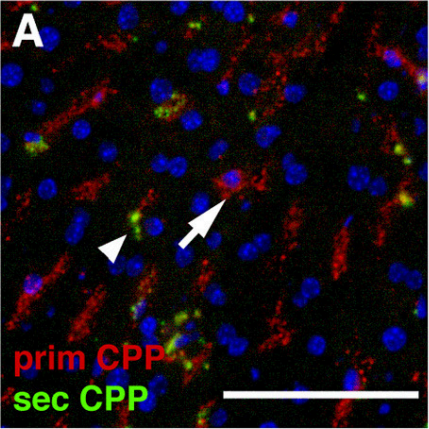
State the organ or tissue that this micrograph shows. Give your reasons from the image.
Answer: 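Narrow elongated channels with label run between the cell plates.
Hence: liver.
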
